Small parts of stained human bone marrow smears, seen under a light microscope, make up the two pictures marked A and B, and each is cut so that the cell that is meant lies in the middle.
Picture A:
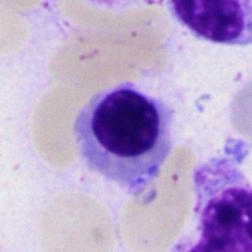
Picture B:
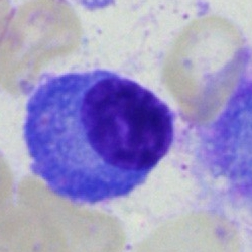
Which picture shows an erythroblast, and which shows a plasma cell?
A: erythroblast
B: plasma cell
